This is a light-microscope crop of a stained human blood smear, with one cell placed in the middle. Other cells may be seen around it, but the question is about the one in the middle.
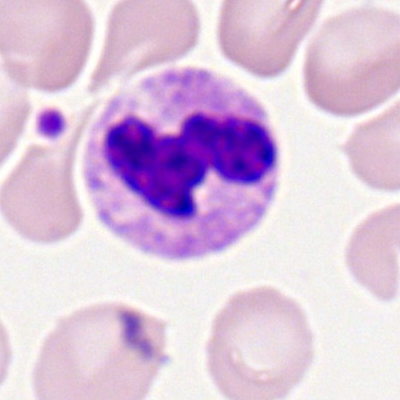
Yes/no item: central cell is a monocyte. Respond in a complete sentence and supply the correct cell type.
No, the central cell does not represent a monocyte, but a segmented neutrophil.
